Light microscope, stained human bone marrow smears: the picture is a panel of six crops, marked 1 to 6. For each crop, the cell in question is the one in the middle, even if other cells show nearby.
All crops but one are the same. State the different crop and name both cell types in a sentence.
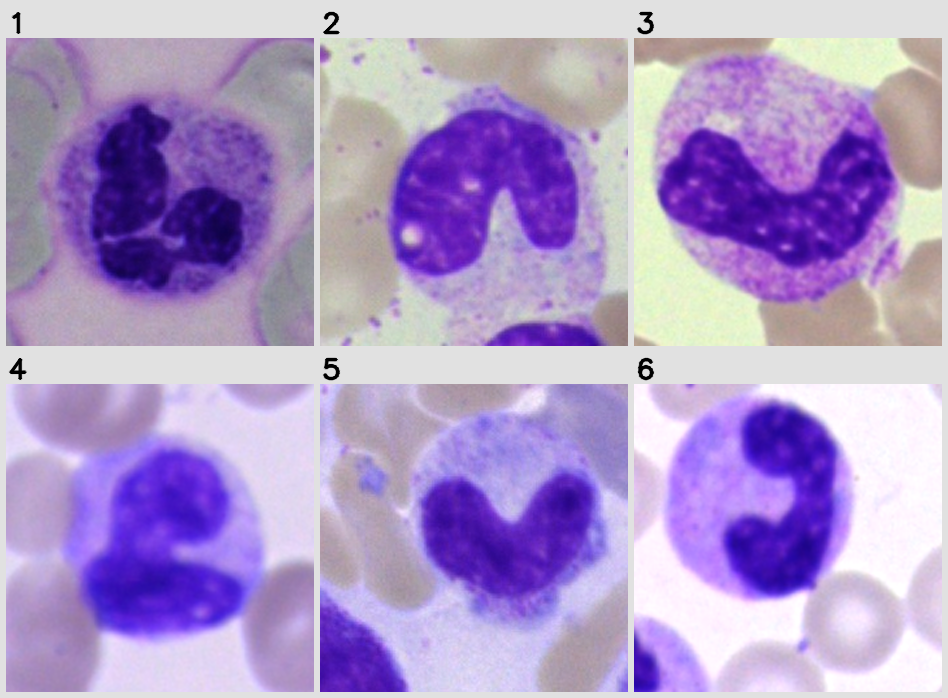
Just crop 1 is a segmented neutrophil; all the other crops show band neutrophils.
